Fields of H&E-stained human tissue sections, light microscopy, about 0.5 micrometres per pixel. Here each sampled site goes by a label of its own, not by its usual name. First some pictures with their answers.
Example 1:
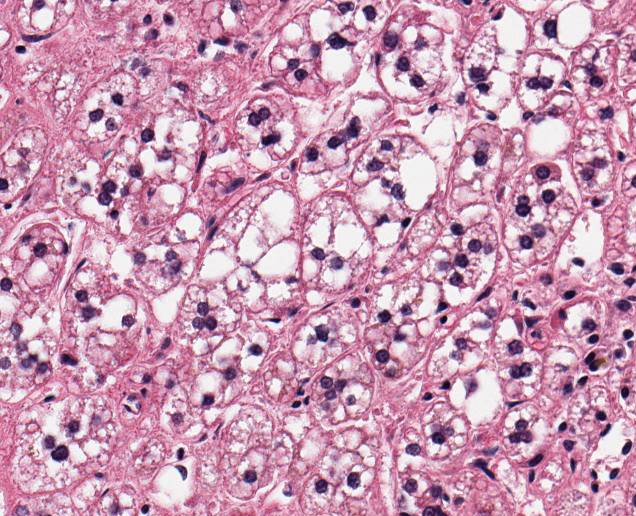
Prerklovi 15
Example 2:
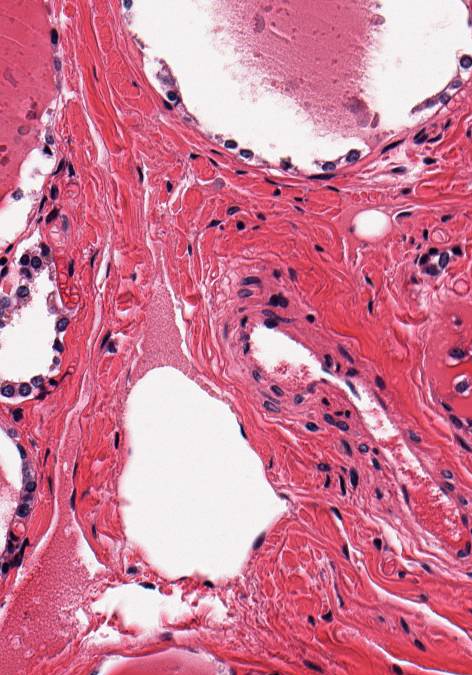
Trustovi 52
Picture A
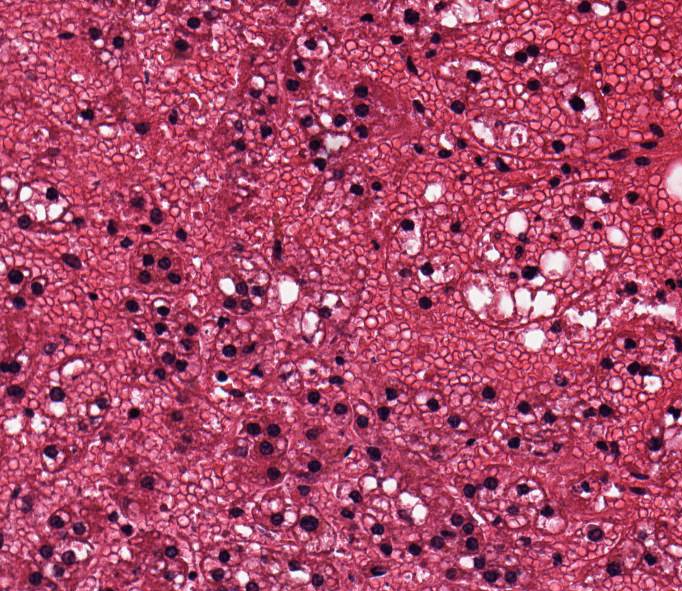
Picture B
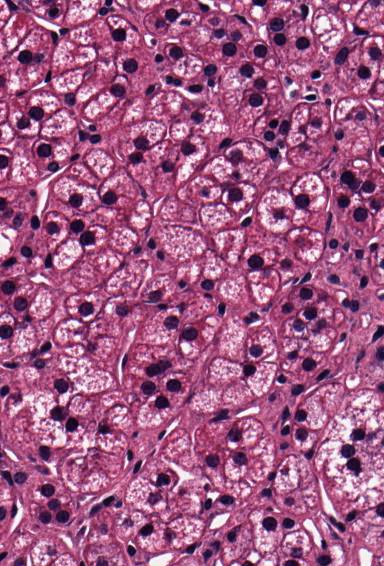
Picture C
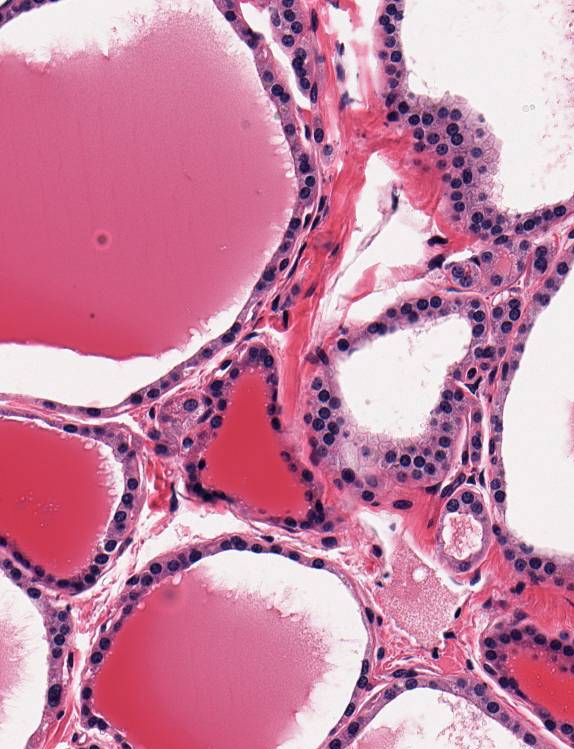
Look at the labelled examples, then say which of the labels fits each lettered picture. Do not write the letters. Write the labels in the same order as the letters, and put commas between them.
Prerklovi 15, Prerklovi 15, Trustovi 52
